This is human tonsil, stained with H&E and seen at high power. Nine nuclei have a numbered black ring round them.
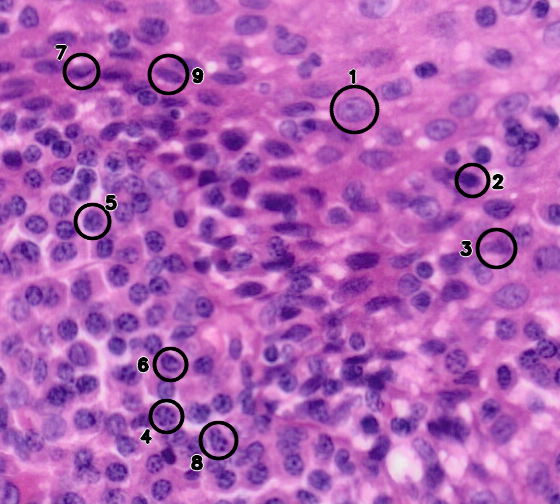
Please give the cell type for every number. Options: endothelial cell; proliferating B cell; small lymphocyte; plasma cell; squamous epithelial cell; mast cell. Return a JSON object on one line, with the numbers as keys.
{"1": "squamous epithelial cell", "2": "squamous epithelial cell", "3": "squamous epithelial cell", "4": "plasma cell", "5": "plasma cell", "6": "plasma cell", "7": "squamous epithelial cell", "8": "plasma cell", "9": "squamous epithelial cell"}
